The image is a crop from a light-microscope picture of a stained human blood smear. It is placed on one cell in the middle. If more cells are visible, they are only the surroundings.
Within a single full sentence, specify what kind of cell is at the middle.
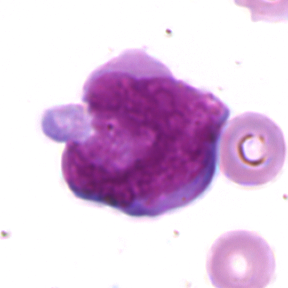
The cell sitting right in the middle is an atypical promyelocyte.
